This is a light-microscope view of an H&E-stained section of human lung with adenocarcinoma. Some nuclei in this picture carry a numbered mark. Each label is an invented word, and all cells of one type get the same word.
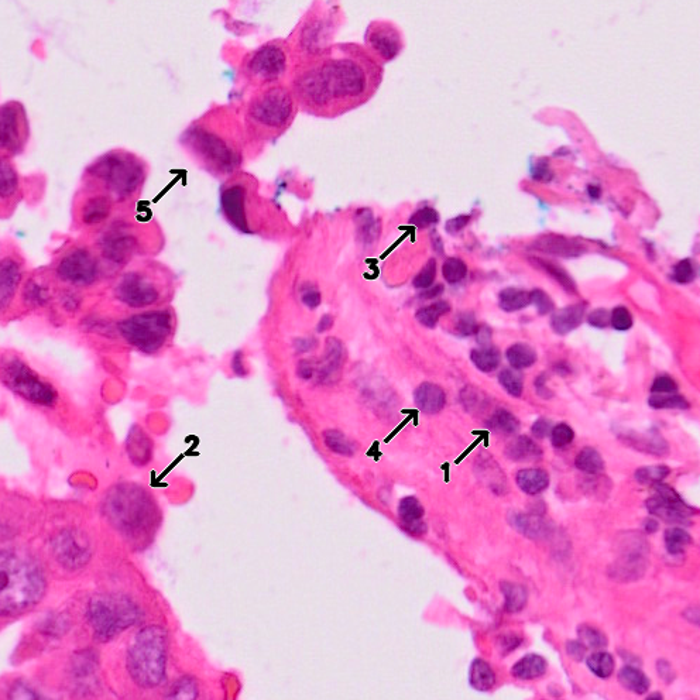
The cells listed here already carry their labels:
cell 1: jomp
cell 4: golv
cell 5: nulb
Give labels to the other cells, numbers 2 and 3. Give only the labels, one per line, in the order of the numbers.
nulb
golv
